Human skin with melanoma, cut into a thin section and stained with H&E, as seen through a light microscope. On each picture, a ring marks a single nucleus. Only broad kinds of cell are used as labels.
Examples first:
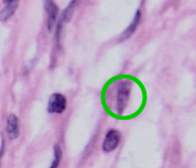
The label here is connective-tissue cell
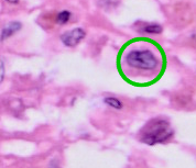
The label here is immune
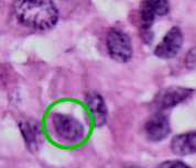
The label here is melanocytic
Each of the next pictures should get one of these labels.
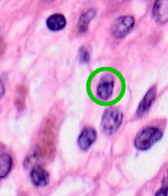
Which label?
immune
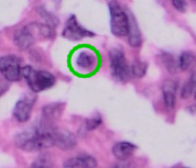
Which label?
melanocytic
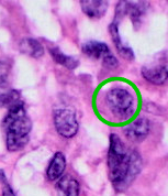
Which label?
melanocytic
